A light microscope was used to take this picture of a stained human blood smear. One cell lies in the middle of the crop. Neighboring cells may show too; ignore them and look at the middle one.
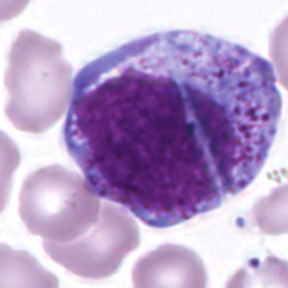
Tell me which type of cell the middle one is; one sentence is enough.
The central element of this crop is a cell, namely a promyelocyte.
